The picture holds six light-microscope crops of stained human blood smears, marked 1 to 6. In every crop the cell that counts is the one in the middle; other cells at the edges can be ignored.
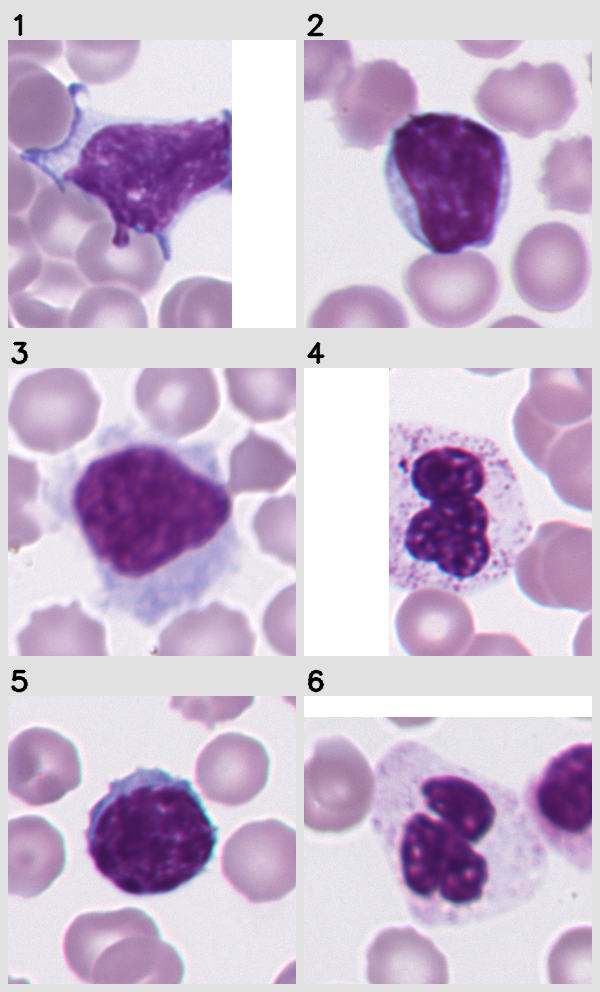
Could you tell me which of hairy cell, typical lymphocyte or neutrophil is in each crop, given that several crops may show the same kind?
1: typical lymphocyte
2: typical lymphocyte
3: hairy cell
4: neutrophil
5: typical lymphocyte
6: neutrophil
